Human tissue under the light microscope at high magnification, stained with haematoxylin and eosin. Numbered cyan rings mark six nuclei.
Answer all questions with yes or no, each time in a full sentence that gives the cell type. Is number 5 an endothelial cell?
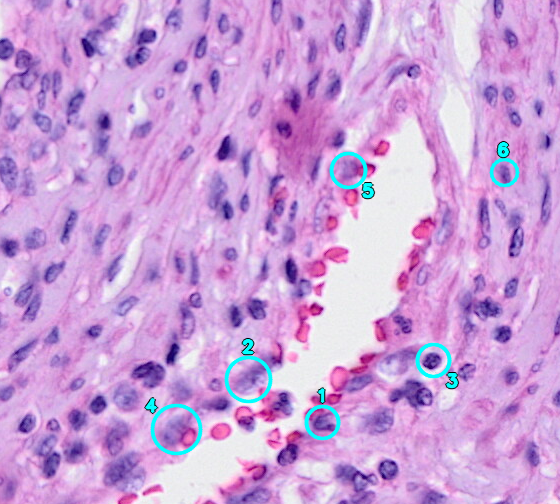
Yes, the cell numbered 5 in this tissue is an endothelial cell.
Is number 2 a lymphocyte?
No, cell 2 is to be classed as an endothelial cell, not a lymphocyte.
